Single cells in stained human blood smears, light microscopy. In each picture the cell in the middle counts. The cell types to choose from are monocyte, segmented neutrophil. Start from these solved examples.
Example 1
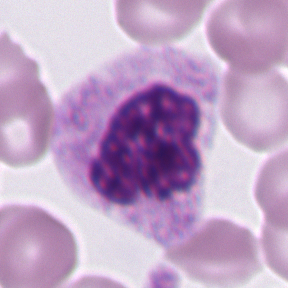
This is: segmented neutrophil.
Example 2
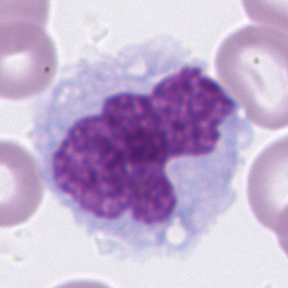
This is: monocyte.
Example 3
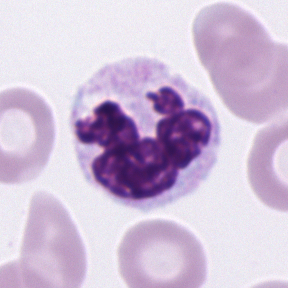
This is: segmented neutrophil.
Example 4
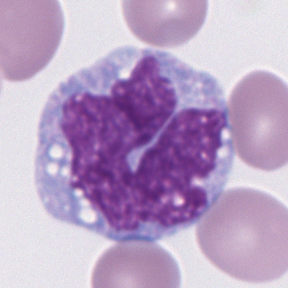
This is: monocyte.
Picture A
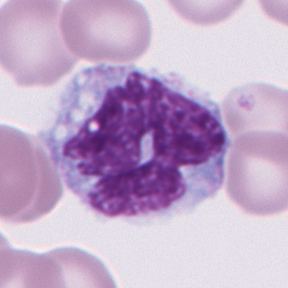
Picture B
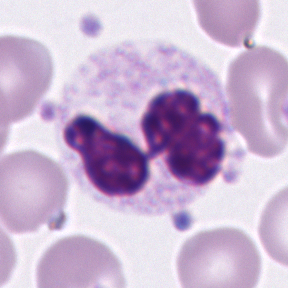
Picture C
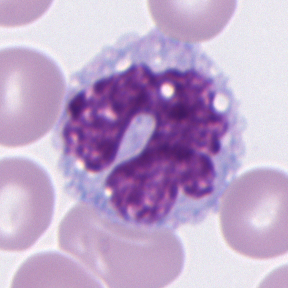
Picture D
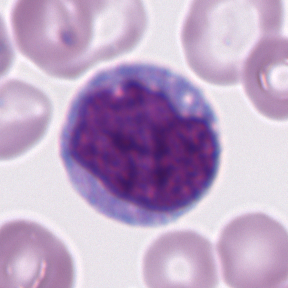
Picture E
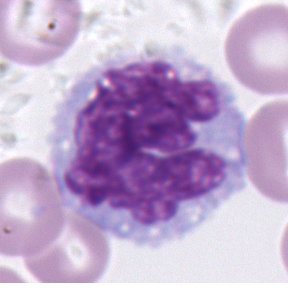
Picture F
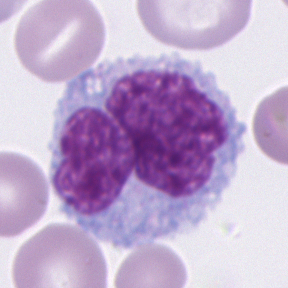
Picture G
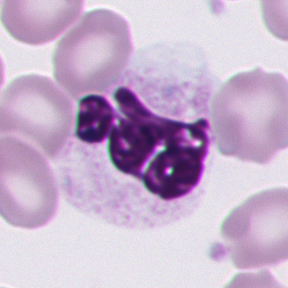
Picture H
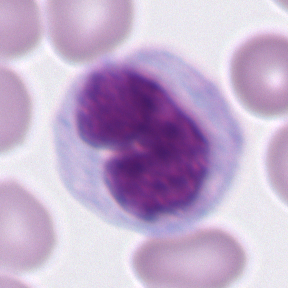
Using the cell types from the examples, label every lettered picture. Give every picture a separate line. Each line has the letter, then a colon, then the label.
A: monocyte.
B: segmented neutrophil.
C: monocyte.
D: monocyte.
E: monocyte.
F: monocyte.
G: segmented neutrophil.
H: monocyte.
